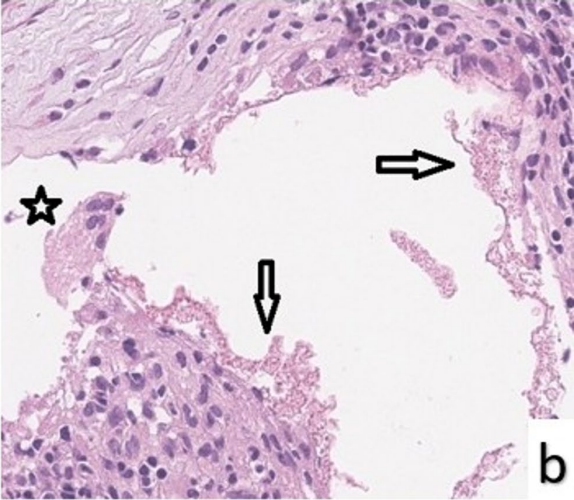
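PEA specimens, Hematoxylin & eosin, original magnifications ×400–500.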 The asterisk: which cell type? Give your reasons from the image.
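The asterisk sits beside a pink cell body with several nuclei at the edge of the space. The answer: foreign body-type multinucleated giant cell.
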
